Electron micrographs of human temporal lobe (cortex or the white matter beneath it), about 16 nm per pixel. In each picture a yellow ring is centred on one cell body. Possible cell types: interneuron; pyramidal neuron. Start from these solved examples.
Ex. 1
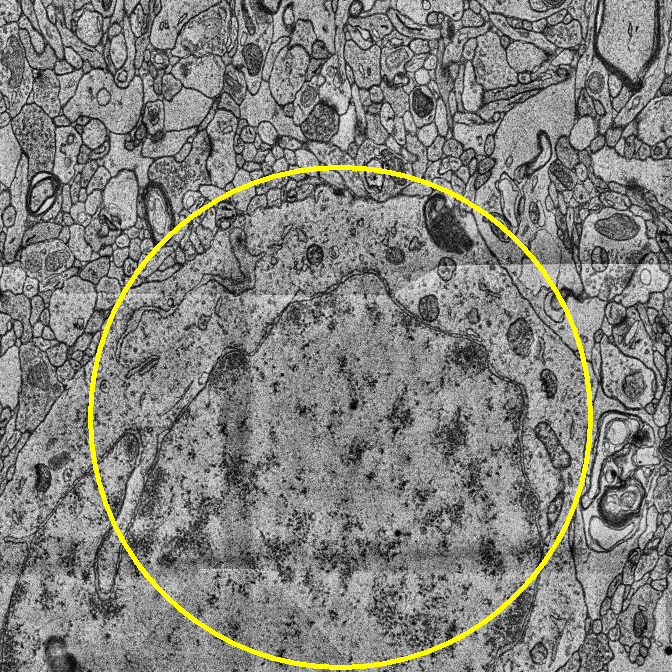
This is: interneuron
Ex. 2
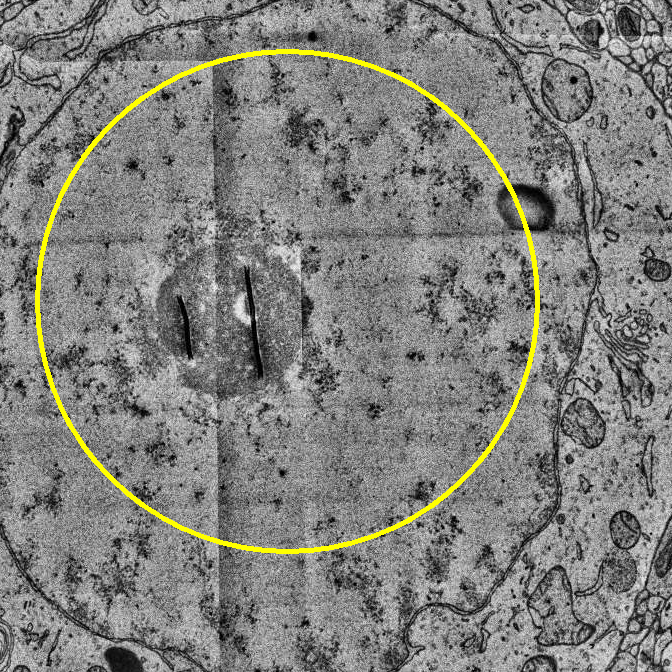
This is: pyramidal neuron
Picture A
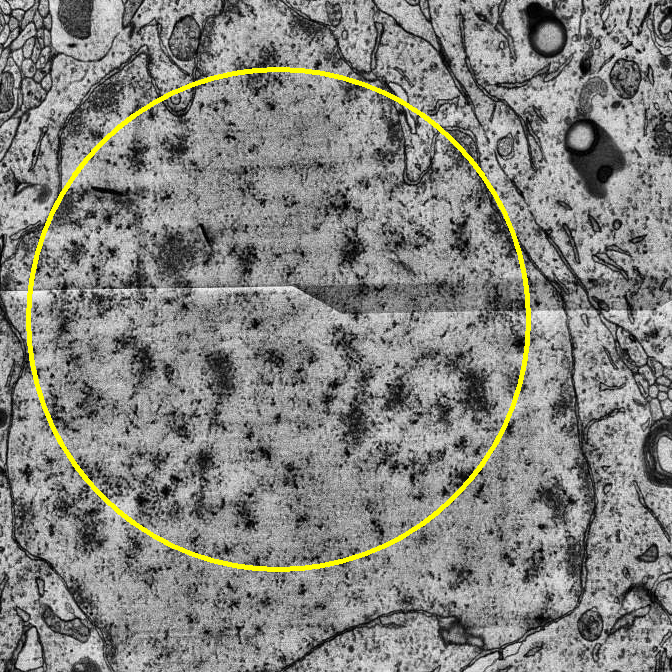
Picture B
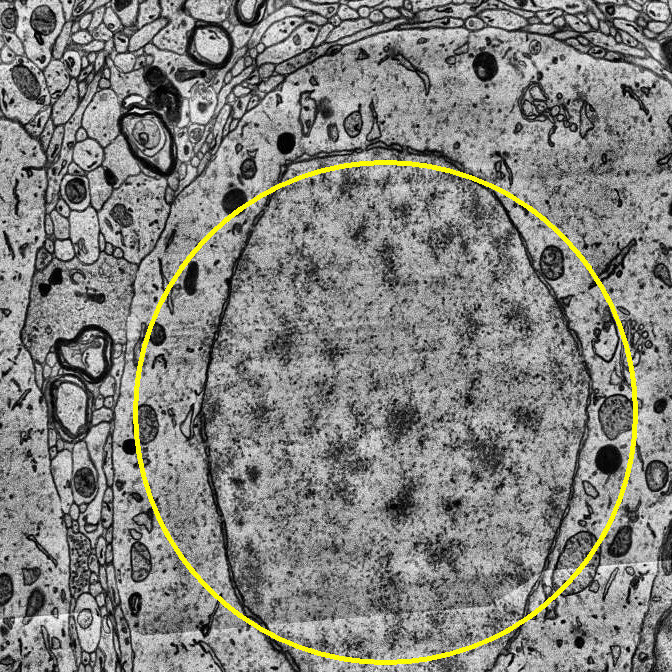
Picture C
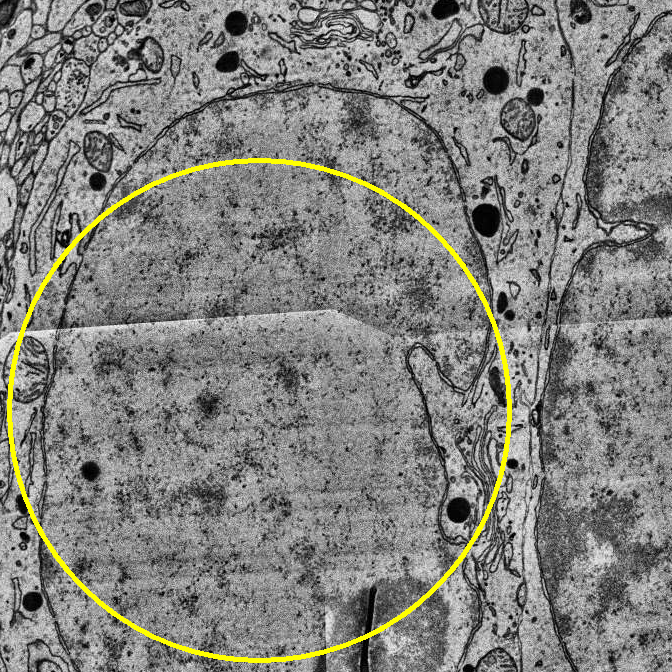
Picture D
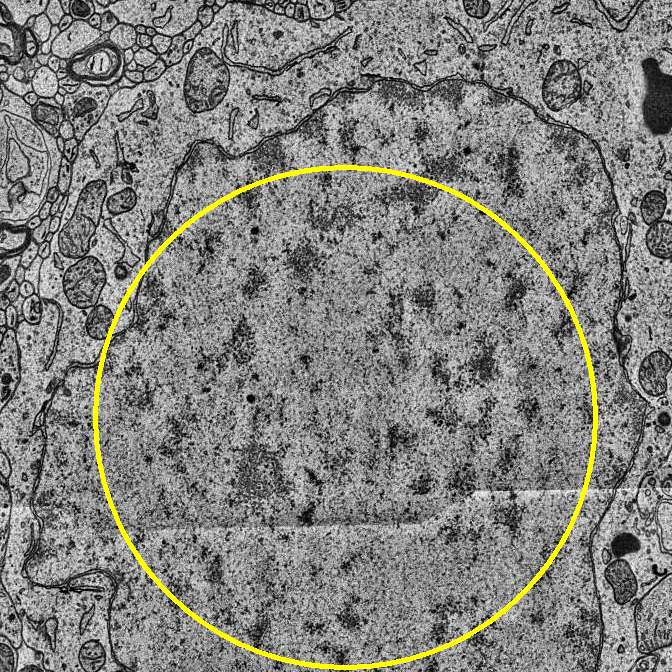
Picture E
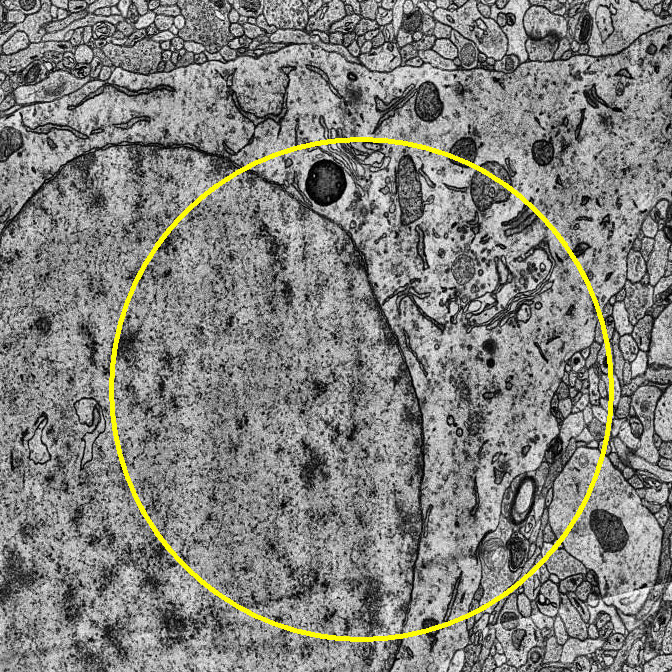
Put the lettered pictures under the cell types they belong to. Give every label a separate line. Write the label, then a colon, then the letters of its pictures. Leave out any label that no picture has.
interneuron: A, D
pyramidal neuron: B, C, E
